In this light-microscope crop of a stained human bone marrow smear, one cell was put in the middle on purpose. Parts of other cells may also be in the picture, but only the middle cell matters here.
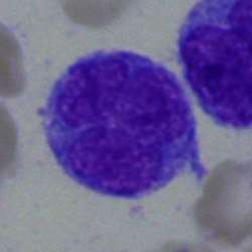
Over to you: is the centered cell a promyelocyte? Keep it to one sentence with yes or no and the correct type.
No, rather than a promyelocyte, the central cell is a blast.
